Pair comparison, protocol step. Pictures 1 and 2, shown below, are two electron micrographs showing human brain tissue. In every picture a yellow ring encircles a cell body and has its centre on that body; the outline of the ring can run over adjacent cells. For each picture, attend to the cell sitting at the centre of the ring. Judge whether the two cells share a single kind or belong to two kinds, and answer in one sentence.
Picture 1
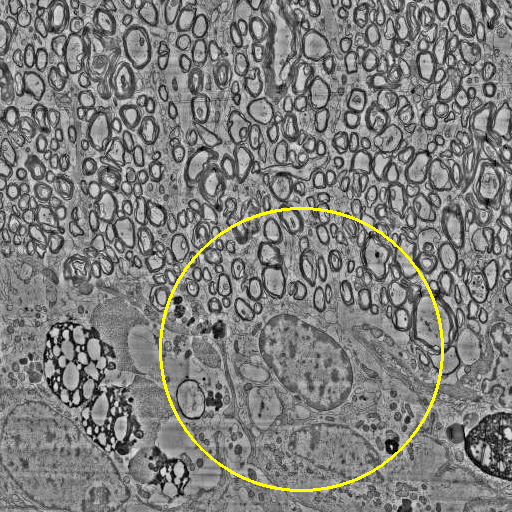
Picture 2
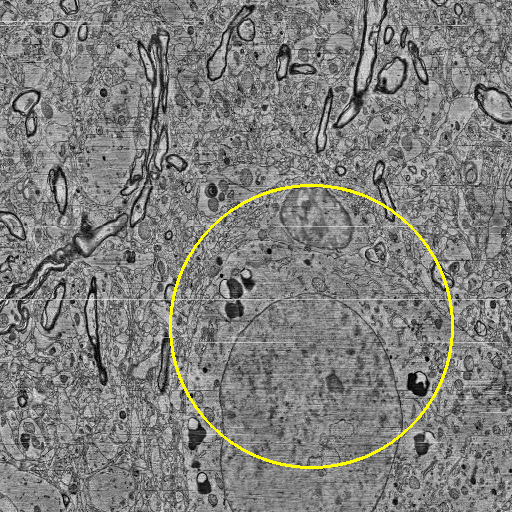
The two cells at the ring centres in Picture 1 and Picture 2 belong to two kinds.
